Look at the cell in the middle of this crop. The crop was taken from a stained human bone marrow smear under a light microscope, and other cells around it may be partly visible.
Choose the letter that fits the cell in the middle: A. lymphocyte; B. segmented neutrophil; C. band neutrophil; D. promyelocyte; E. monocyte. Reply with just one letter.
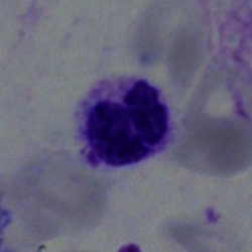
B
